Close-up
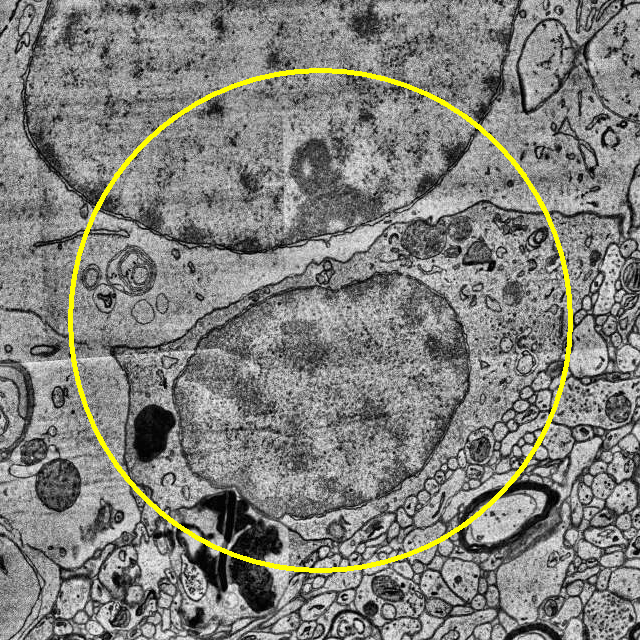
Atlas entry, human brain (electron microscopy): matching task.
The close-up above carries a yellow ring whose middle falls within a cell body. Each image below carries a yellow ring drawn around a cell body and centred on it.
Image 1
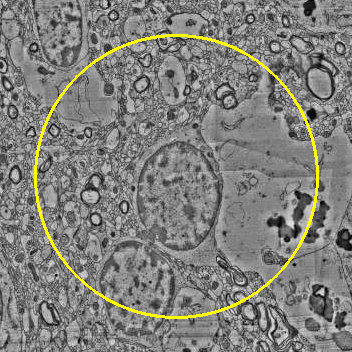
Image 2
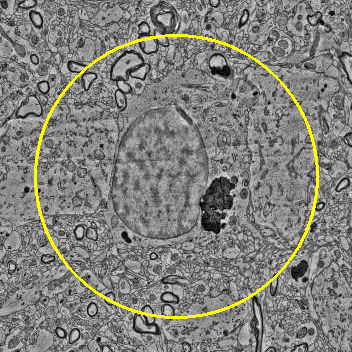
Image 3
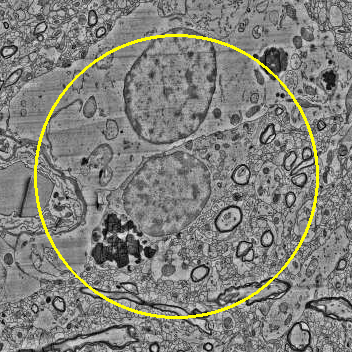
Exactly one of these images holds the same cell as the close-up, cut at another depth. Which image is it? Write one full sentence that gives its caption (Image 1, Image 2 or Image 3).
The higher magnification view shows the cell circled in Image 3.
